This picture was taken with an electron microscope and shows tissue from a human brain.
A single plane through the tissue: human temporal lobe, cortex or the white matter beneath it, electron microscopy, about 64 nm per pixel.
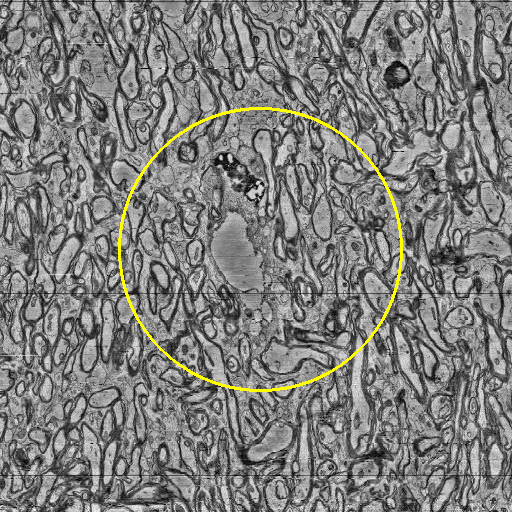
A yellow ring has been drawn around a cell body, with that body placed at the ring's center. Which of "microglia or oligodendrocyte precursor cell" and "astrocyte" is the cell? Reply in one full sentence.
In this picture, an astrocyte is the cell at the center of the yellow ring.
